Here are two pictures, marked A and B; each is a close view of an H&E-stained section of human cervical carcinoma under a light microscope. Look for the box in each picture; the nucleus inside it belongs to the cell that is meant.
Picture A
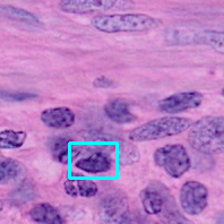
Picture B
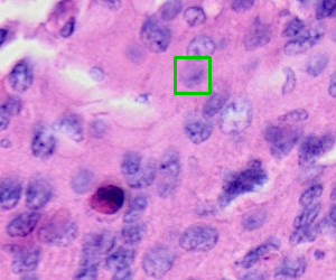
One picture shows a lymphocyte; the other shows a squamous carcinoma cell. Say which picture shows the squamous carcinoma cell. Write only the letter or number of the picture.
B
